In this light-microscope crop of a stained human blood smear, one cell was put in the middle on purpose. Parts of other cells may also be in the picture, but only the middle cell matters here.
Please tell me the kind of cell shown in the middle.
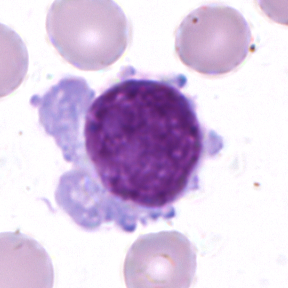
plasma cell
